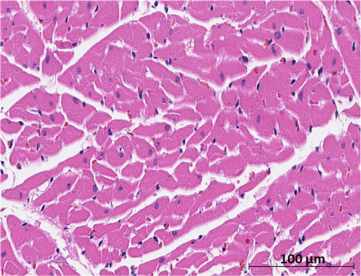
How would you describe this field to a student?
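This is heart muscle made of cardiomyocytes cut mostly longitudinally and obliquely. The muscle cells form elongated, branching pink fibres grouped into bundles. Their nuclei are oval to elongated, purple, and lie within the fibres, generally one per cell. Clear white clefts separate the bundles from one another, running diagonally across the field. Small dark nuclei of interstitial cells and occasional red blood cells lie between the fibres.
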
